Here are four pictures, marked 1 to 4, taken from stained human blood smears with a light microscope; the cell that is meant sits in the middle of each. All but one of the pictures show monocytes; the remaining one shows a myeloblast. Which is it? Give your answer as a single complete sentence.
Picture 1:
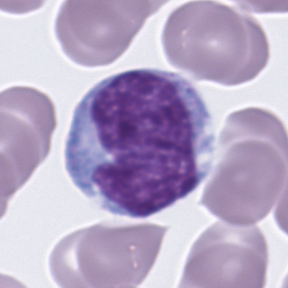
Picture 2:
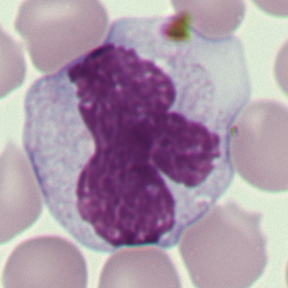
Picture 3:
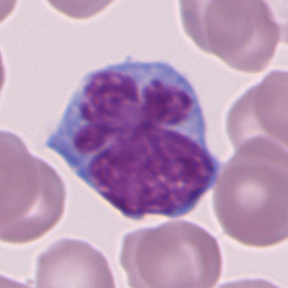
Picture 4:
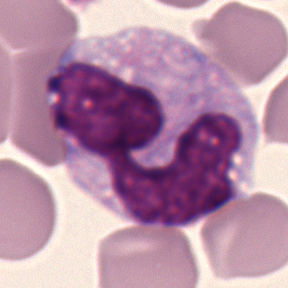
Picture 3 is the one that shows the myeloblast.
